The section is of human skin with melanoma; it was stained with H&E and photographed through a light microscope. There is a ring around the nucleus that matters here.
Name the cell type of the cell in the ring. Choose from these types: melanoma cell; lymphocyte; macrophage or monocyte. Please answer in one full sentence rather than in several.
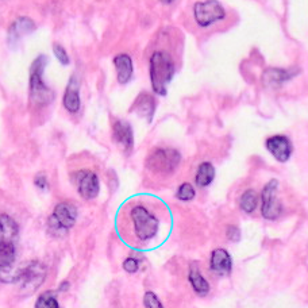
It is as a macrophage or monocyte that the cell in the ring is classified.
